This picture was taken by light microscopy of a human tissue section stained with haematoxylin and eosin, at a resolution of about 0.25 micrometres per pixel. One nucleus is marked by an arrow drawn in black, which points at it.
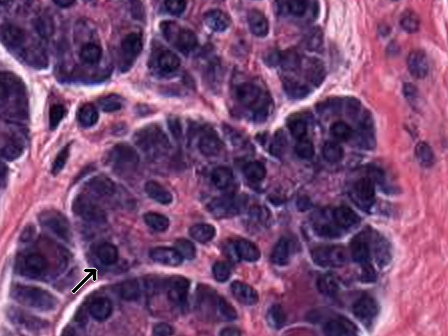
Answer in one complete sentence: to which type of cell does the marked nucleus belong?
What the marked nucleus belongs to is a pancreatic acinar cell.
